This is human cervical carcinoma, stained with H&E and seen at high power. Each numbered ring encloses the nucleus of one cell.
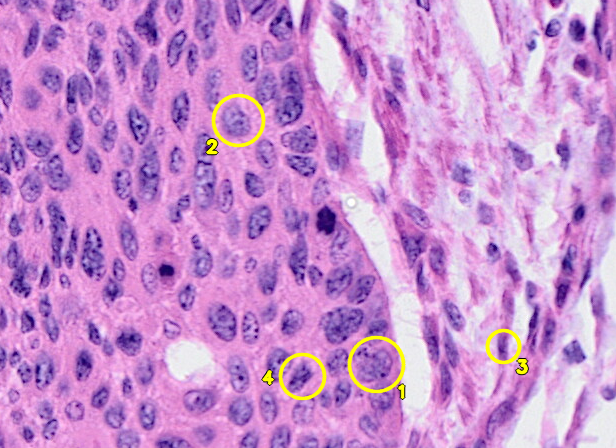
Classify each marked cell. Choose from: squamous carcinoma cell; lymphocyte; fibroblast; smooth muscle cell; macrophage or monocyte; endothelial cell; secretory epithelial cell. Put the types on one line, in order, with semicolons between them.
squamous carcinoma cell; squamous carcinoma cell; fibroblast; squamous carcinoma cell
